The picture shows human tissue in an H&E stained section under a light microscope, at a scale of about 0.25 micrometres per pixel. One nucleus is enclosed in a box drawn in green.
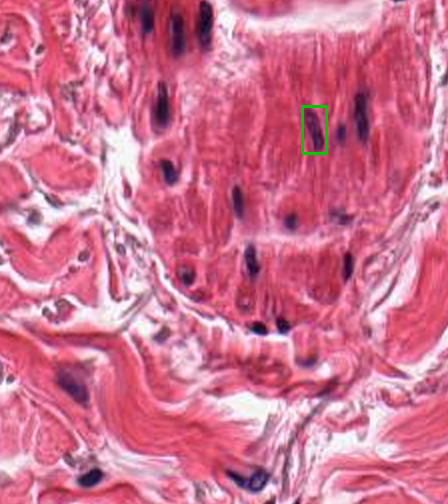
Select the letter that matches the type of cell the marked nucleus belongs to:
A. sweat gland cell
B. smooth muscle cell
B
